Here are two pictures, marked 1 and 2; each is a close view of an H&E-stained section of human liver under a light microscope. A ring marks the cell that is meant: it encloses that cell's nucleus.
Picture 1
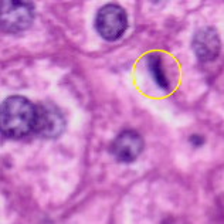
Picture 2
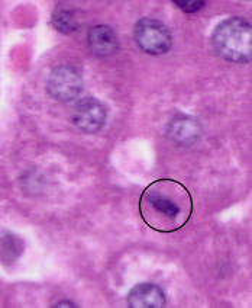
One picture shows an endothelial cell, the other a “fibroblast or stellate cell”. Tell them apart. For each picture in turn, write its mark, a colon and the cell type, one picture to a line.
1: endothelial cell
2: fibroblast or stellate cell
